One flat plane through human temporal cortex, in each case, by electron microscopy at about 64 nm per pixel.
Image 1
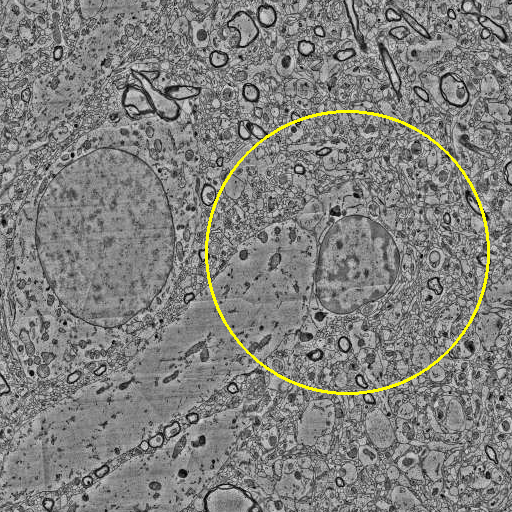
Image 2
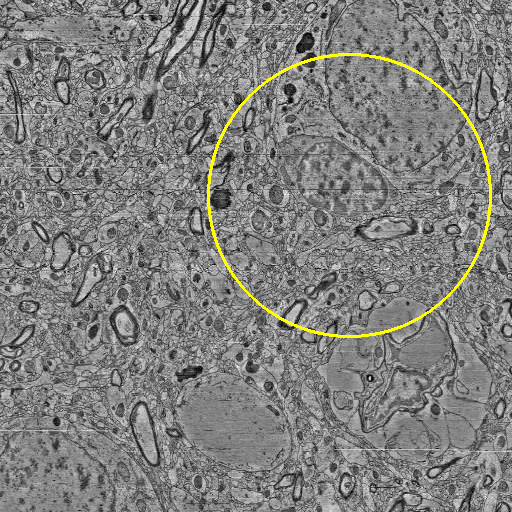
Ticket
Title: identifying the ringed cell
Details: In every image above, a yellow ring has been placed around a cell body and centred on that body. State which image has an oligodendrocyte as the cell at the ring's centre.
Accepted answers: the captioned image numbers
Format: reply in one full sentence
The ring in image 2 is centred on the cell in question.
